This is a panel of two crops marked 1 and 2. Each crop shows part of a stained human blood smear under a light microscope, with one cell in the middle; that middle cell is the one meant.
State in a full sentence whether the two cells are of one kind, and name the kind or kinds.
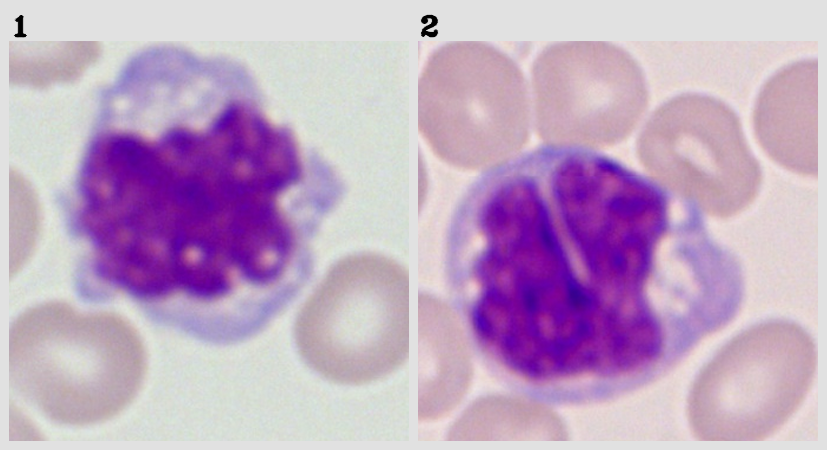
Yes, what both crops show is monocytes.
